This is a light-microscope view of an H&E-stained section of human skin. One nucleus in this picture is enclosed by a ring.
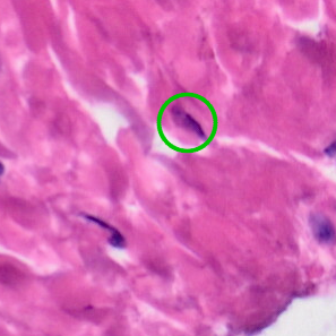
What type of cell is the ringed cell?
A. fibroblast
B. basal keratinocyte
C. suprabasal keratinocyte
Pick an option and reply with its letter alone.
A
